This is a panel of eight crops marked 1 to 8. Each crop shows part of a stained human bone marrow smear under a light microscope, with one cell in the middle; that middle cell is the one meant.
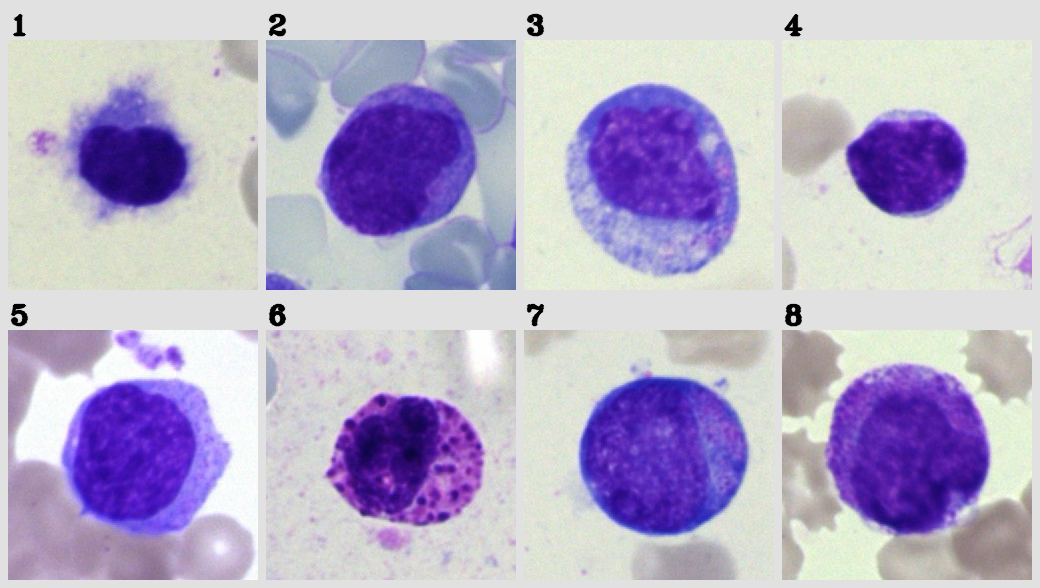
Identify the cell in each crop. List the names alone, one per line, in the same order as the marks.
hairy cell
blast
promyelocyte
lymphocyte
blast
basophil
blast
blast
